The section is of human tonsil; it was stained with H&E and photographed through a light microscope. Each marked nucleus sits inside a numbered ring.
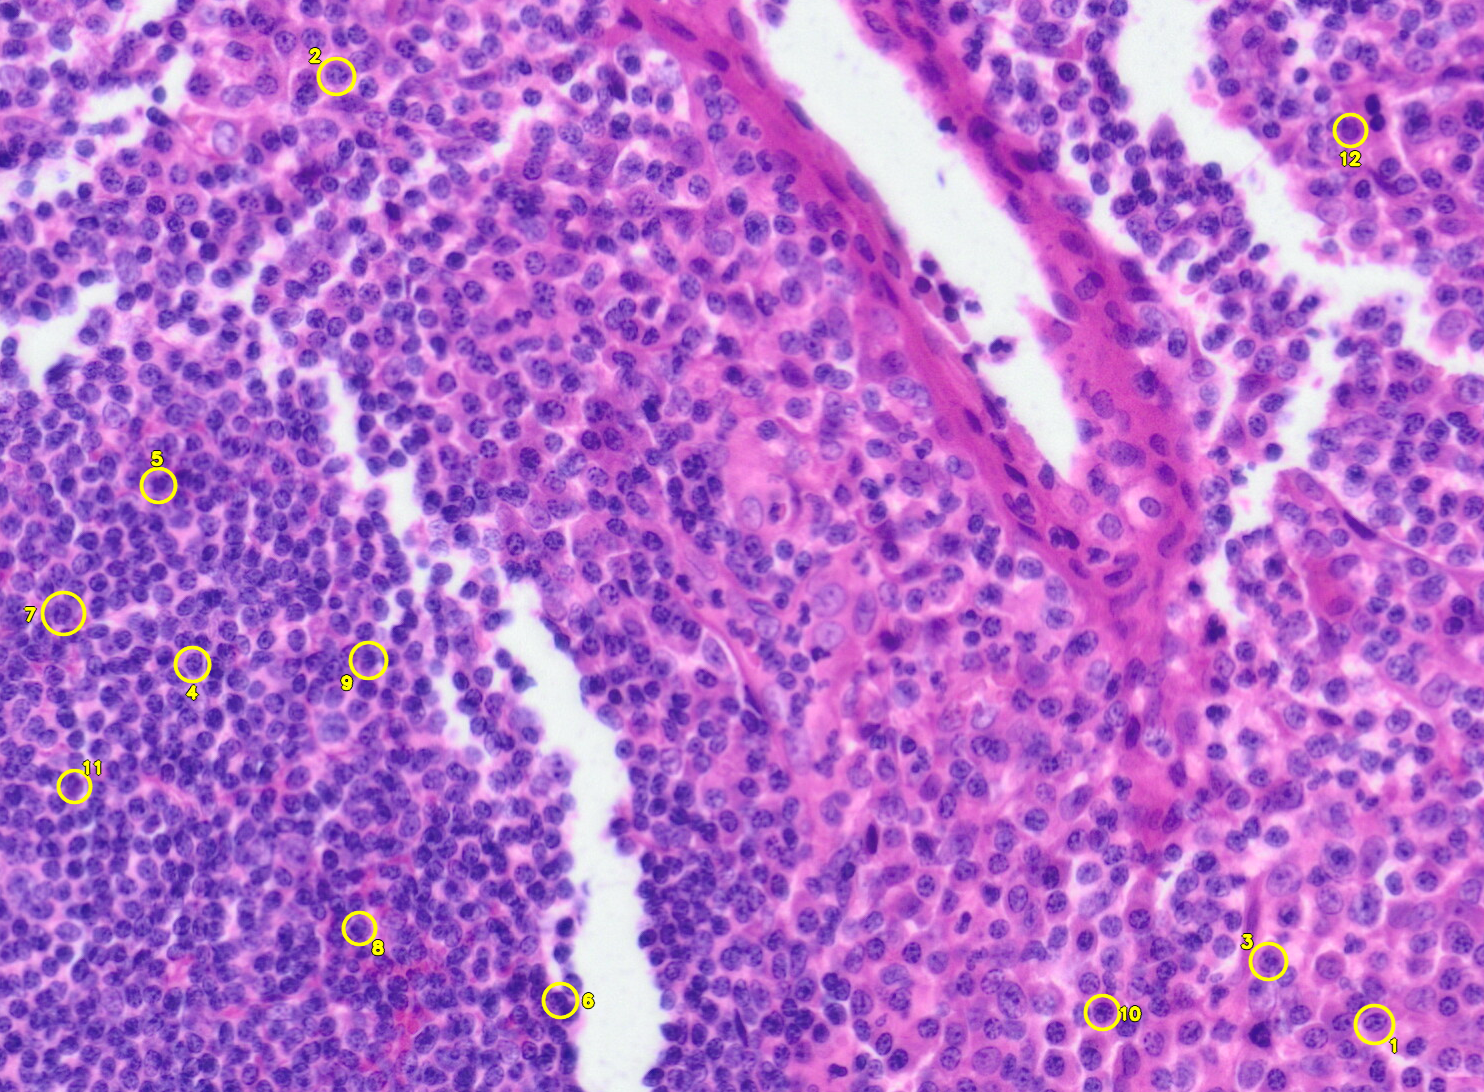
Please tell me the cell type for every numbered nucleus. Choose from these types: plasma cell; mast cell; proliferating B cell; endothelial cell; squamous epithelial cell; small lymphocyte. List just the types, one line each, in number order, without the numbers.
plasma cell
plasma cell
plasma cell
small lymphocyte
small lymphocyte
small lymphocyte
small lymphocyte
small lymphocyte
small lymphocyte
plasma cell
small lymphocyte
squamous epithelial cell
